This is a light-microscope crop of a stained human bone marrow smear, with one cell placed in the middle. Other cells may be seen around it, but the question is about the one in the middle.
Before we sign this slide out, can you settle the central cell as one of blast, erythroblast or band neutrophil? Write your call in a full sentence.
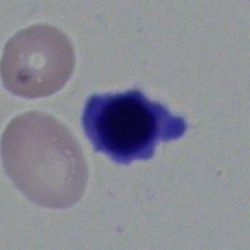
In the middle of this smear crop, the cell is an erythroblast.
